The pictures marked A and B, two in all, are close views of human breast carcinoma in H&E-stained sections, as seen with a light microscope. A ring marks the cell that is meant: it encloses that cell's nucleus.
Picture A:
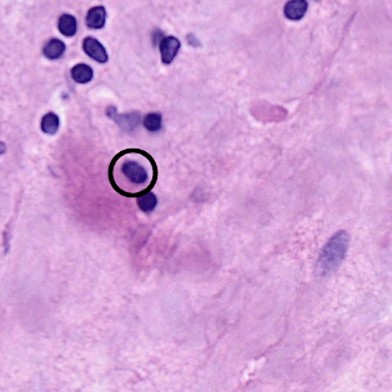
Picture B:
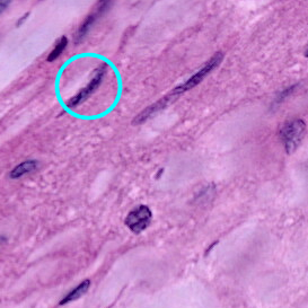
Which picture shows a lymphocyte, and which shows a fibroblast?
A: lymphocyte
B: fibroblast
